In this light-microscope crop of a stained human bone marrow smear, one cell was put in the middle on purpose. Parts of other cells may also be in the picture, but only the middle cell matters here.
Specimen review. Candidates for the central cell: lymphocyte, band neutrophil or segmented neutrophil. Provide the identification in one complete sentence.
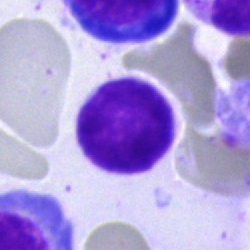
The crop's centre is taken up by a lymphocyte.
